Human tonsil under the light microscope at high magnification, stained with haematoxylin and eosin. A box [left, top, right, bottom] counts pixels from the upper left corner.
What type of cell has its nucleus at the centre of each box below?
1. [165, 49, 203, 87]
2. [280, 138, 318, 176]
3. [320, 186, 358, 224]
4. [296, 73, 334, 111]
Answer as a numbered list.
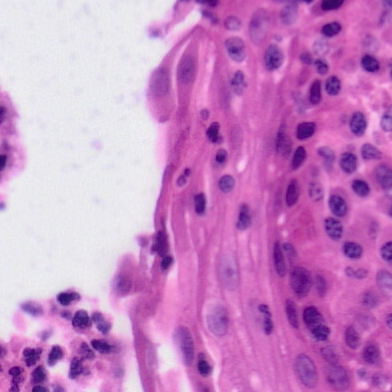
1. squamous epithelial cell
2. squamous epithelial cell
3. plasma cell
4. squamous epithelial cell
